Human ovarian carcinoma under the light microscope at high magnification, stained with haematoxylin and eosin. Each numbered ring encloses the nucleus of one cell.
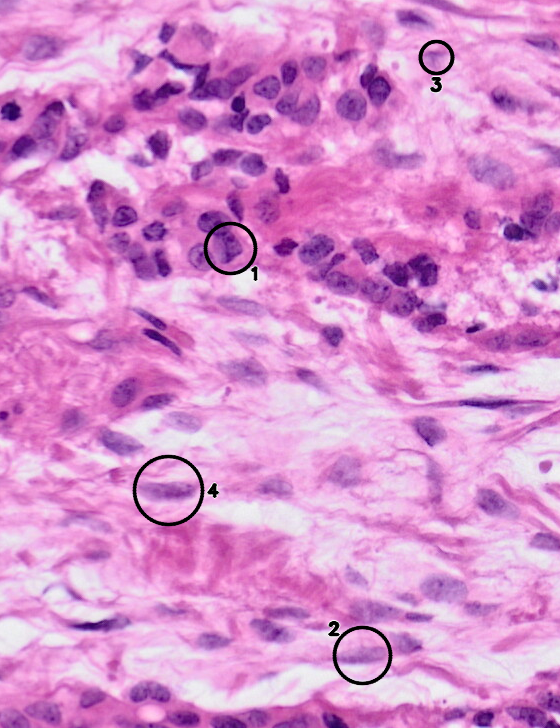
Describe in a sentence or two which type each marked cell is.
Cell 1 is a carcinoma cell, cell 2 is a fibroblast, cell 3 is a fibroblast and cell 4 is a fibroblast.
